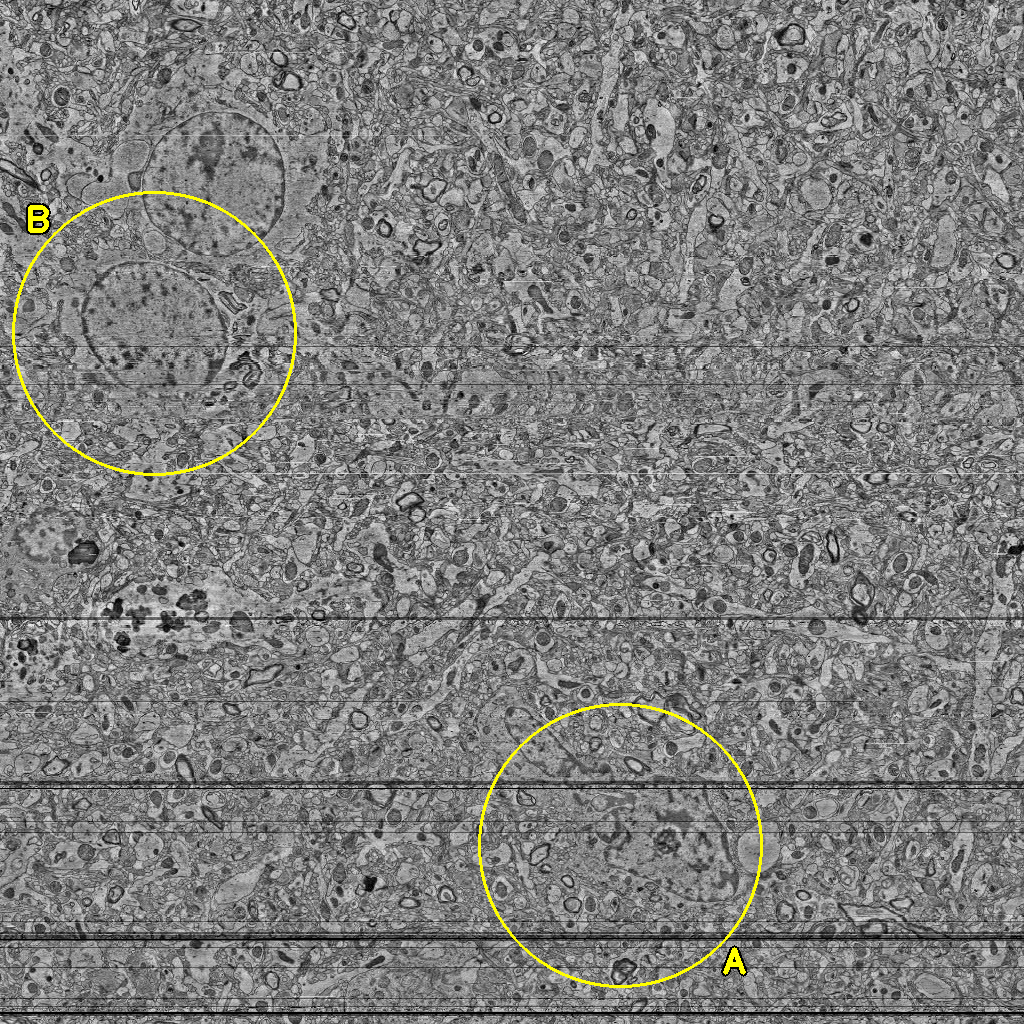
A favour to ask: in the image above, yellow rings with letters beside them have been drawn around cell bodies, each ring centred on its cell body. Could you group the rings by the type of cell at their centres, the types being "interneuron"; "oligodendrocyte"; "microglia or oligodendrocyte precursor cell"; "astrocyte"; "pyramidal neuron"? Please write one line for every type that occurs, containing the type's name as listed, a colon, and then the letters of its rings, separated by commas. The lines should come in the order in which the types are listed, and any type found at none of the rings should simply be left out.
microglia or oligodendrocyte precursor cell: A
astrocyte: B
